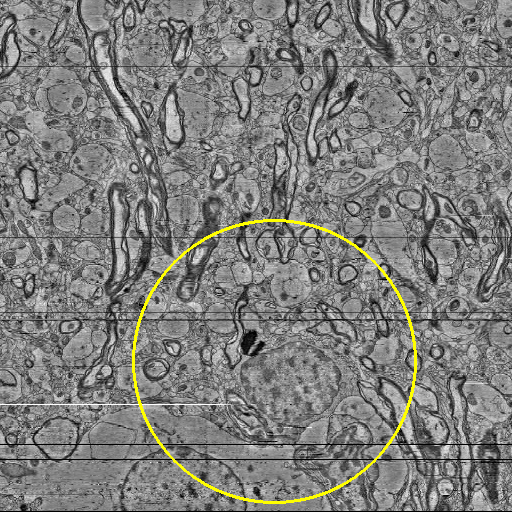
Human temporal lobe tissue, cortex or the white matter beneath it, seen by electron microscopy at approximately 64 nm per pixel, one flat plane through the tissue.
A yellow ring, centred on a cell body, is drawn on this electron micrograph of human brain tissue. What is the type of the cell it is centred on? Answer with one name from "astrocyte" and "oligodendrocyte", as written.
oligodendrocyte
